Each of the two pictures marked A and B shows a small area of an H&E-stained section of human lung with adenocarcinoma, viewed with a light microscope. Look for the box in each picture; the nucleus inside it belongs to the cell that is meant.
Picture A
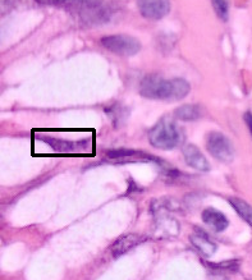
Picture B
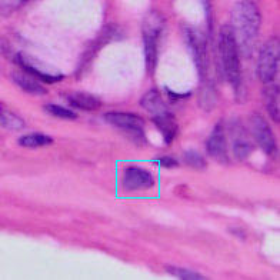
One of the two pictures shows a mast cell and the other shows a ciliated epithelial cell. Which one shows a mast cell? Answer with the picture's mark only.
B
